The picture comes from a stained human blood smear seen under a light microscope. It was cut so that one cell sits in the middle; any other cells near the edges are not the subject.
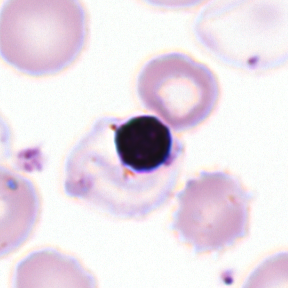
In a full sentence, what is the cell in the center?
Centrally within this crop lies an erythroblast.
